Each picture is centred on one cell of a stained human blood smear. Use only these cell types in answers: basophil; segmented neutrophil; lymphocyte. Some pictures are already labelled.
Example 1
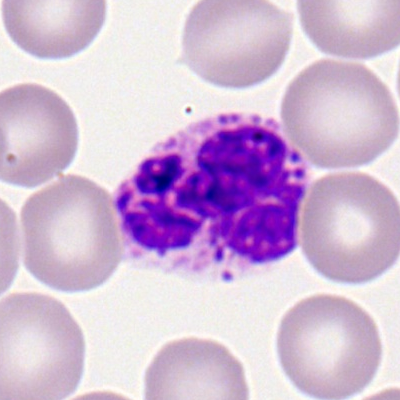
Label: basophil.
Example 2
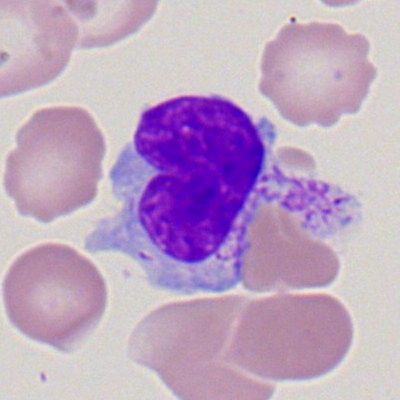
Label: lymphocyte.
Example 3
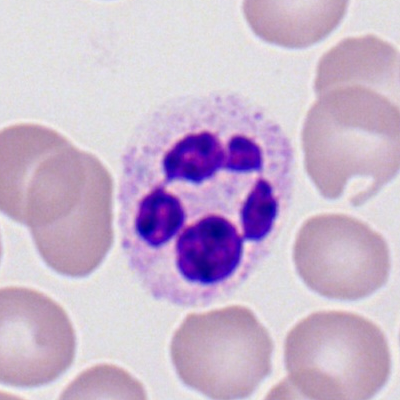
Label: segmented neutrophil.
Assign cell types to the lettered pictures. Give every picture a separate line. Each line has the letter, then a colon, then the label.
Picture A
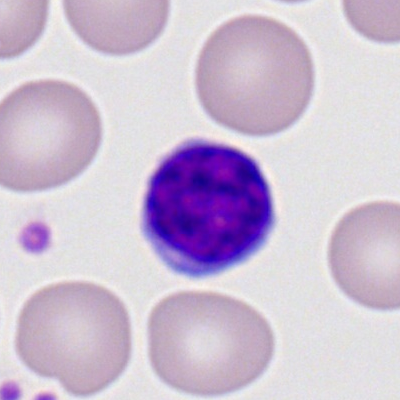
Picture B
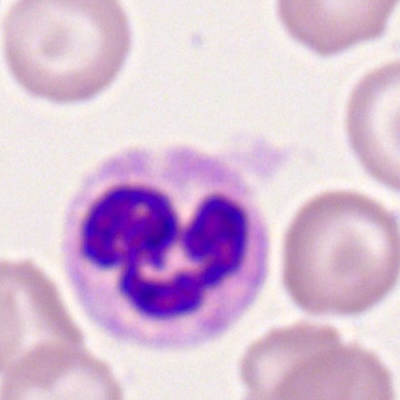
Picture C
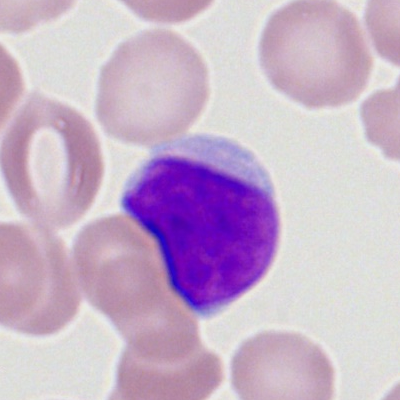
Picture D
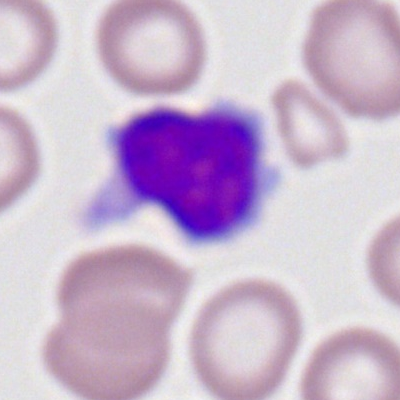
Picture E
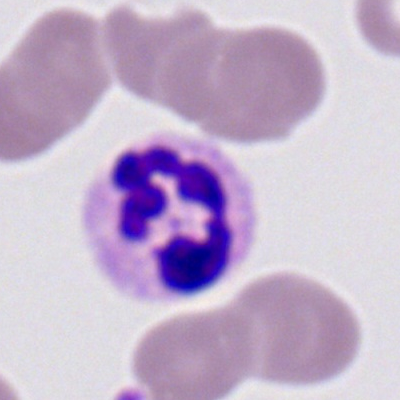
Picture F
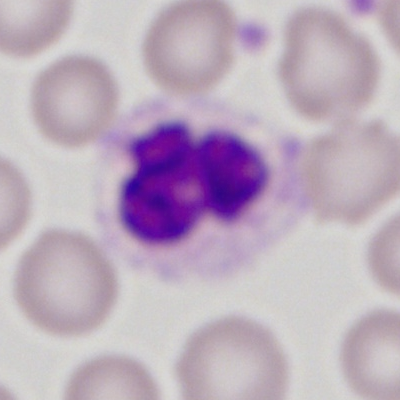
A: lymphocyte.
B: segmented neutrophil.
C: lymphocyte.
D: lymphocyte.
E: segmented neutrophil.
F: segmented neutrophil.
